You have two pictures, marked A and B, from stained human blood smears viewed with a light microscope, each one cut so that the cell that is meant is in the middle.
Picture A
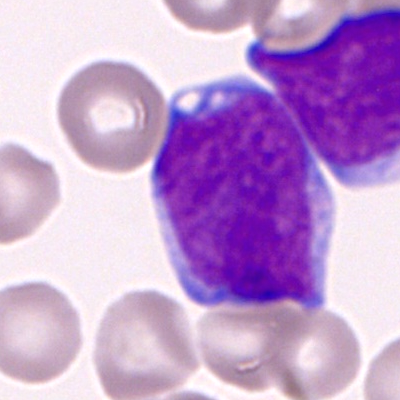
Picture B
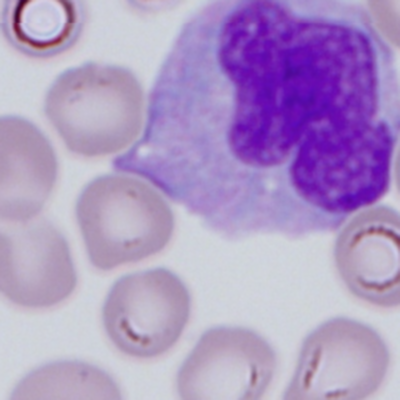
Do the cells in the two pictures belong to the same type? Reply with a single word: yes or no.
no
